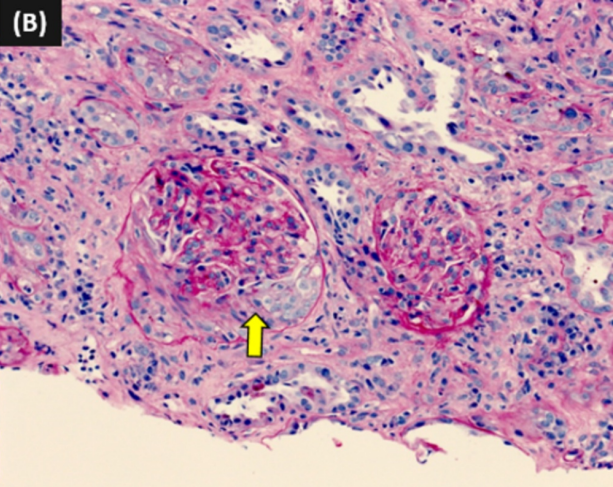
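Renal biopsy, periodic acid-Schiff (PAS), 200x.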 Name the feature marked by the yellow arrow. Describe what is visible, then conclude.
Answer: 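Layers of plump cells fill part of the space between the glomerular tuft and its capsule. The cell layer lies on one side of the glomerulus only. The capsule is outlined by a magenta line.
Segmental cellular crescent.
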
